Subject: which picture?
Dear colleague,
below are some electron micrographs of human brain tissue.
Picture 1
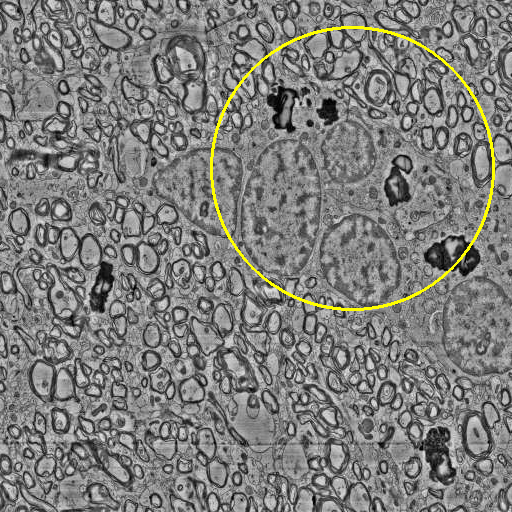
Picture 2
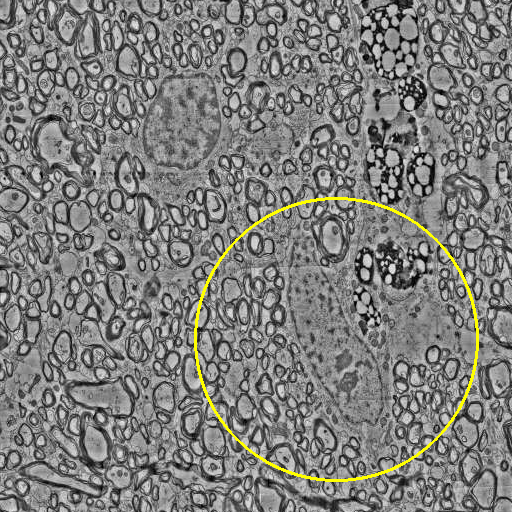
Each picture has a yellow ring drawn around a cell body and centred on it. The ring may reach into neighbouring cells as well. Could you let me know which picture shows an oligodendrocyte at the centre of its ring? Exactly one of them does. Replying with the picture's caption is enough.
Picture 1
